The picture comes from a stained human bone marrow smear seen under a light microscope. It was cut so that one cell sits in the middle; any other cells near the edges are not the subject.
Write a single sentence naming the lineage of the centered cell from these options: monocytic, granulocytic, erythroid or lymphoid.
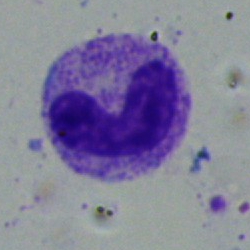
The cell occupying the center of the frame is part of the granulocytic lineage.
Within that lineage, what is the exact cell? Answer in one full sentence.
Of the cells in this crop, the central one is a band neutrophil.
